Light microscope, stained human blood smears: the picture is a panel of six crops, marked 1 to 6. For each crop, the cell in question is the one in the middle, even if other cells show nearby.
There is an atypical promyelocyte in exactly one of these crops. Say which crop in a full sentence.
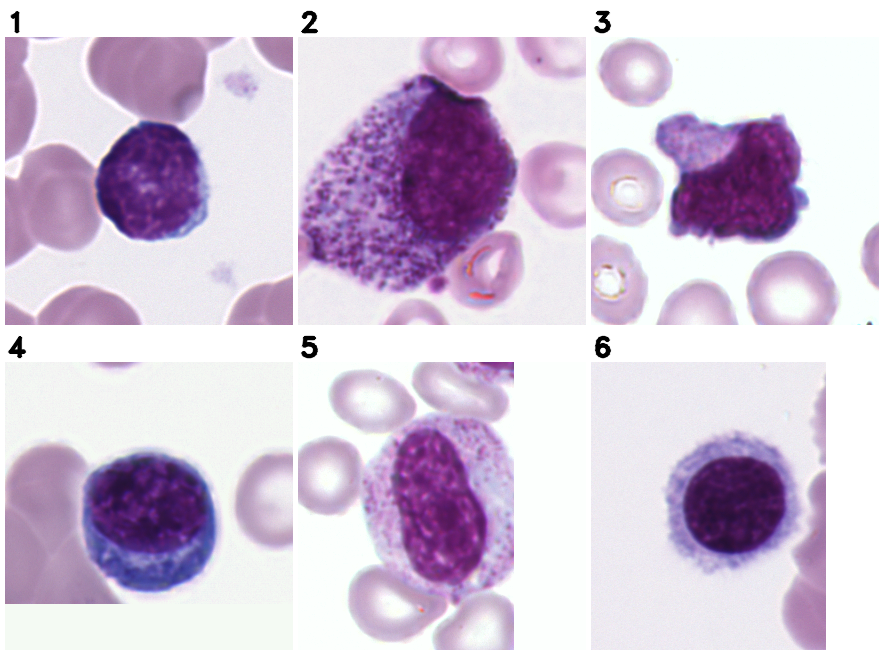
Of the cells presented, the one in crop 3 is an atypical promyelocyte.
